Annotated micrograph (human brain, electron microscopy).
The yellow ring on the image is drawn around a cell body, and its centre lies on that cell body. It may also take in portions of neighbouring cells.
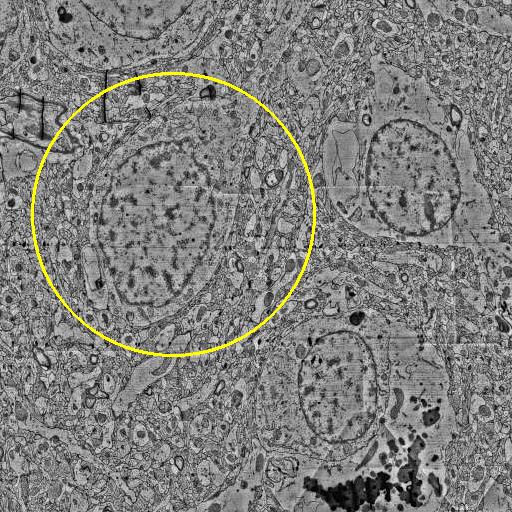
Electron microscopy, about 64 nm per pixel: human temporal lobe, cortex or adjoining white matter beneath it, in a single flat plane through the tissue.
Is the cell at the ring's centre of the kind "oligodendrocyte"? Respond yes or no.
No, it is of another kind.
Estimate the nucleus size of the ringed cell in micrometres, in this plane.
About 11 by 7 micrometers, in this plane.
